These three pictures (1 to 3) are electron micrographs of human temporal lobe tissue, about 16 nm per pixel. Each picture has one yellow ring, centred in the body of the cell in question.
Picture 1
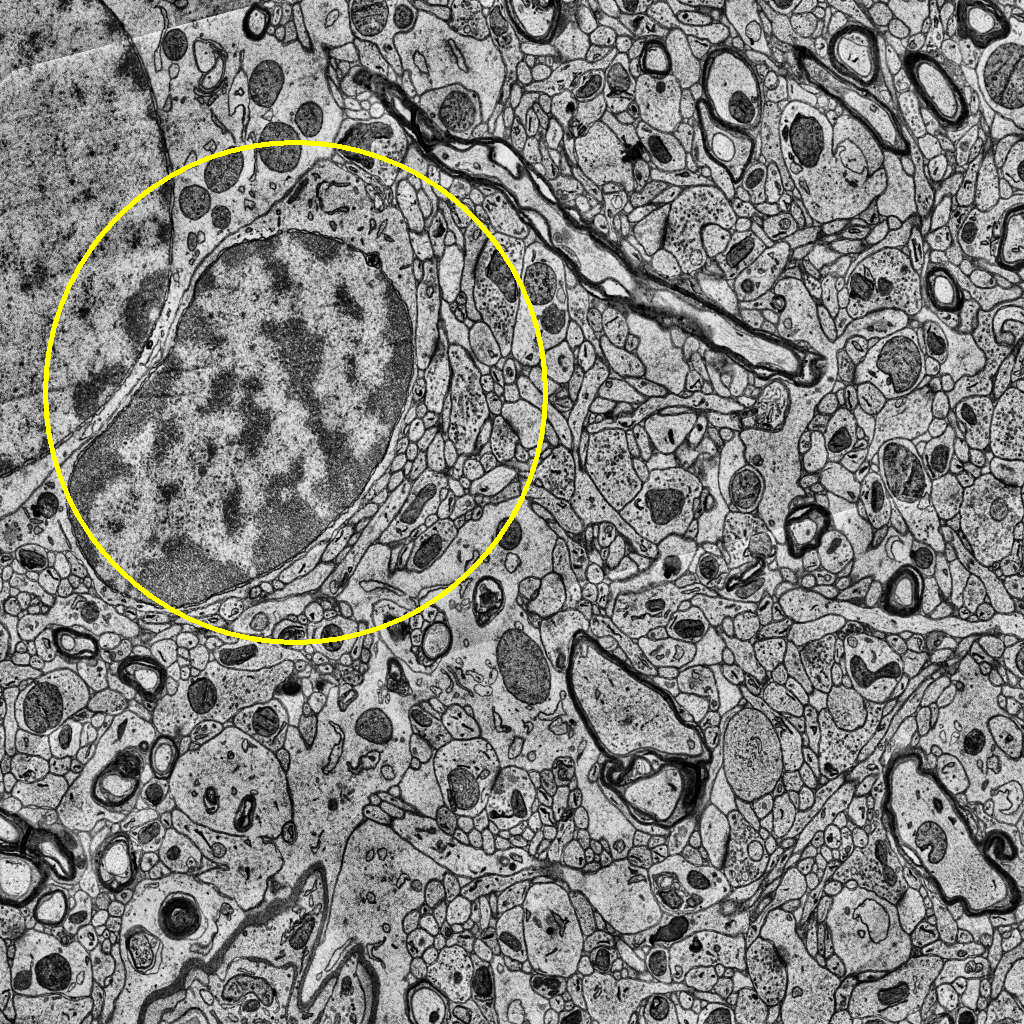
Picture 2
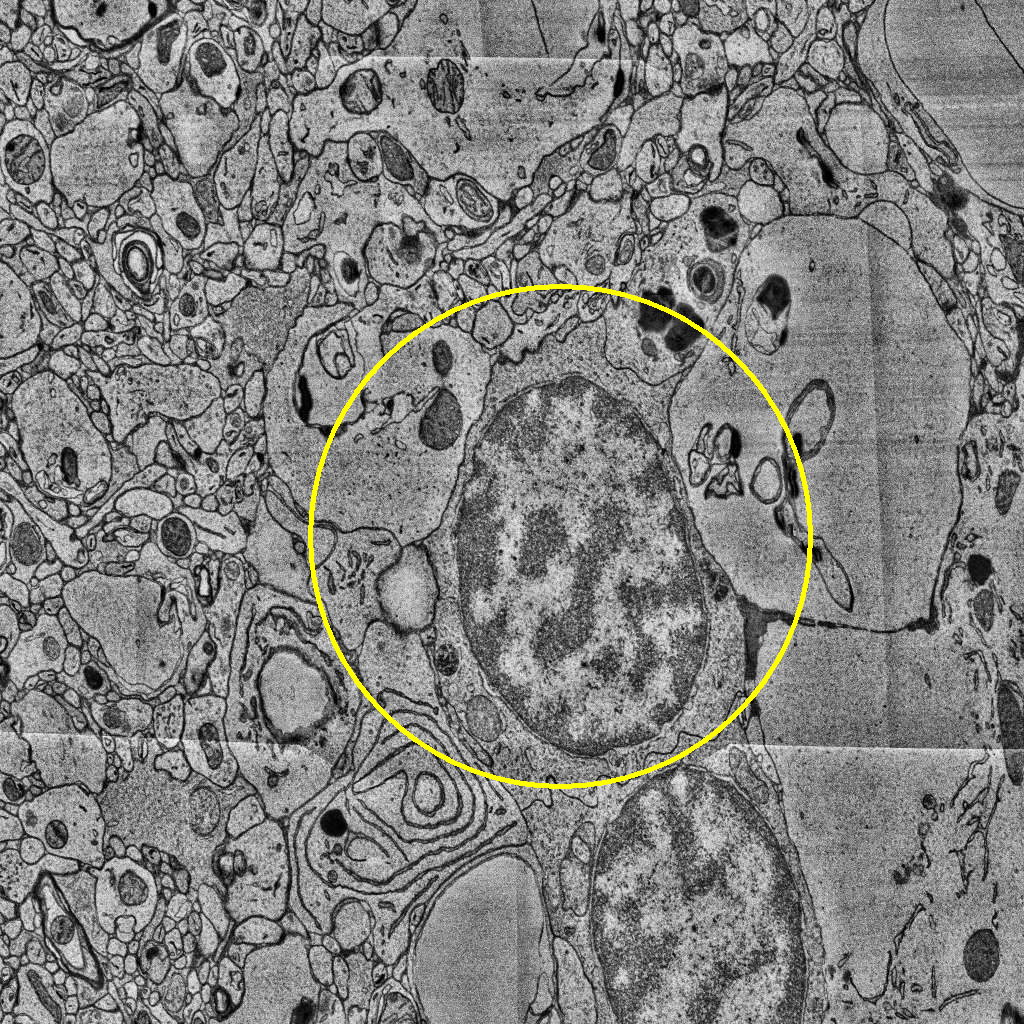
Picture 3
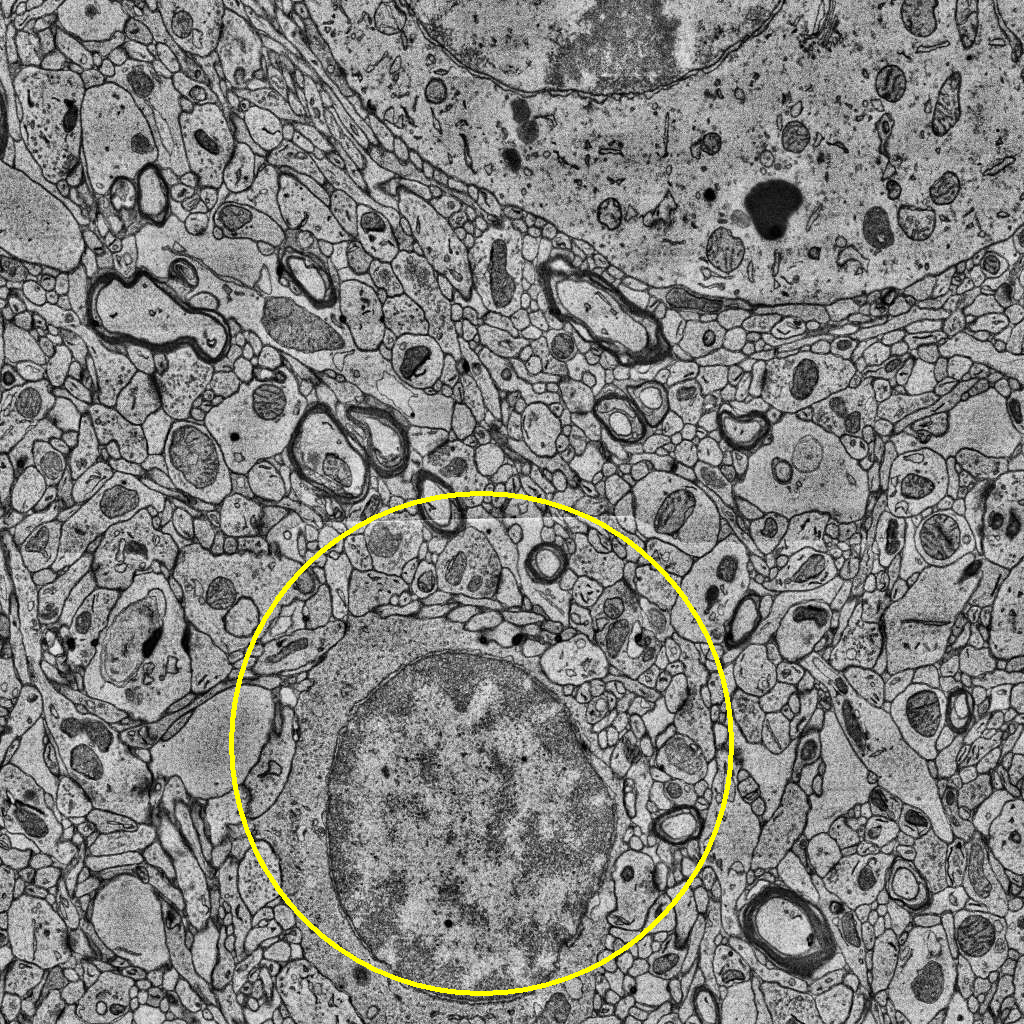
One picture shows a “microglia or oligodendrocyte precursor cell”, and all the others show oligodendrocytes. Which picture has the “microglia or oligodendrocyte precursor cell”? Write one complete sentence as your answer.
Picture 1 is the one that shows the “microglia or oligodendrocyte precursor cell”.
